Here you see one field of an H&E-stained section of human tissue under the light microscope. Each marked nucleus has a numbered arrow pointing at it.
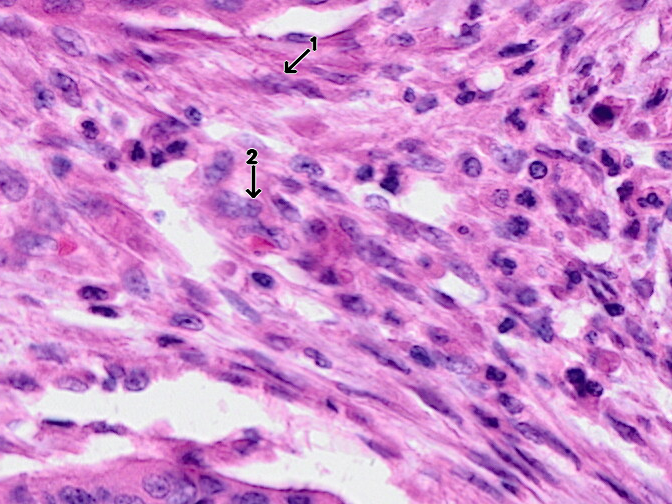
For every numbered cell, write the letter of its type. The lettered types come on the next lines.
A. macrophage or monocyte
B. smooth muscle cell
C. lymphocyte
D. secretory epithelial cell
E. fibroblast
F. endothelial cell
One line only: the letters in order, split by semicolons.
E; F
